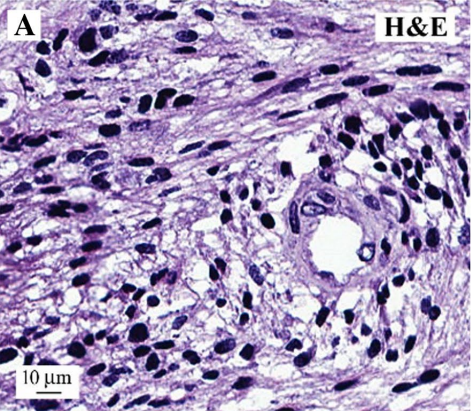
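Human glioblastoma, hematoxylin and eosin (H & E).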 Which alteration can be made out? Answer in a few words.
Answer: high cellularity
